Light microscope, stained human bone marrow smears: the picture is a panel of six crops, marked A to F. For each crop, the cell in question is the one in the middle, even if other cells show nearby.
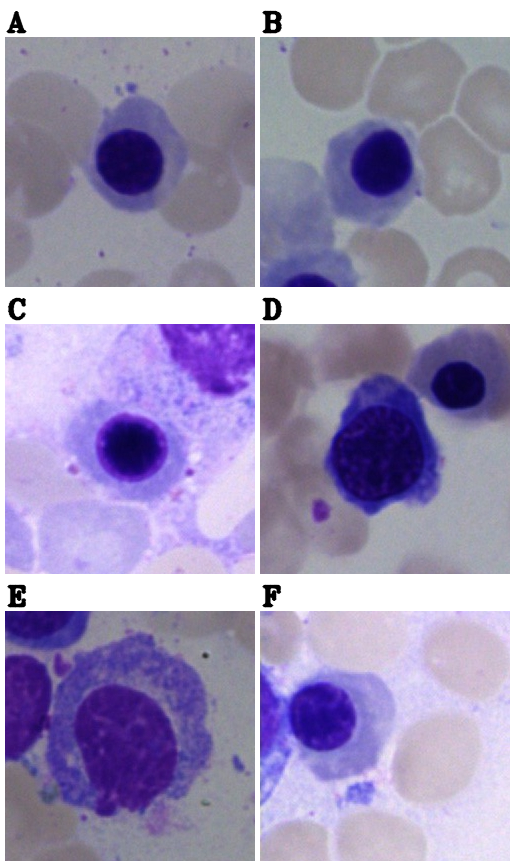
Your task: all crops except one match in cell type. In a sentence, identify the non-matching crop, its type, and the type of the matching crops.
Crop E differs, its cell being a plasma cell, whereas the other crops show erythroblasts.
